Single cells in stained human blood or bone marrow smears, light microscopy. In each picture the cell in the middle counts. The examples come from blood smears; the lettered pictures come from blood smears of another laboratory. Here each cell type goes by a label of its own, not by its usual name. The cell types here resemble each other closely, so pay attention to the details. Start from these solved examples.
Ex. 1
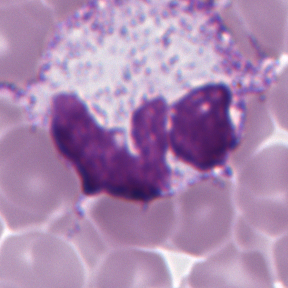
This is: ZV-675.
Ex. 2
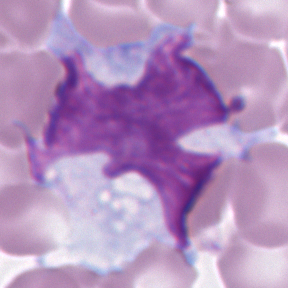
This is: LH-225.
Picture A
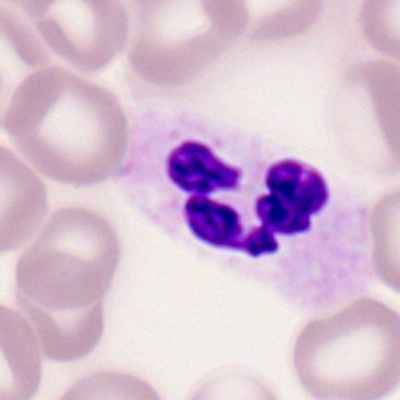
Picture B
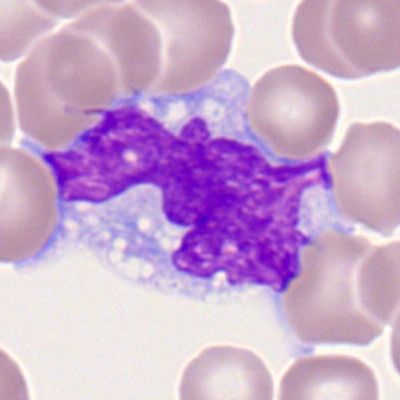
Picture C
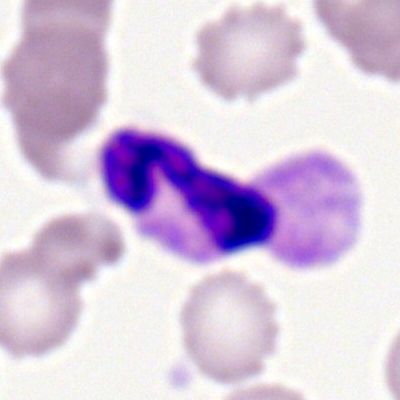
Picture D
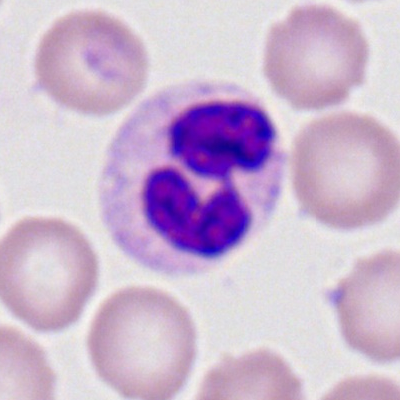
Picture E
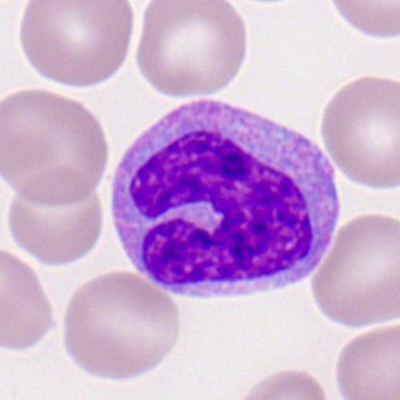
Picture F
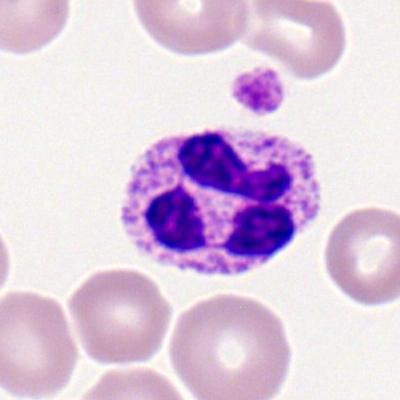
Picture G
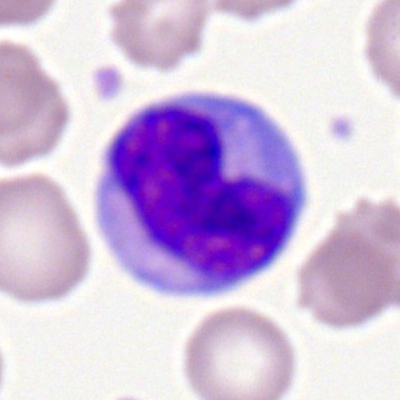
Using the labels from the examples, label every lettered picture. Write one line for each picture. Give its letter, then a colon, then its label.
A: ZV-675.
B: LH-225.
C: ZV-675.
D: ZV-675.
E: LH-225.
F: ZV-675.
G: LH-225.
